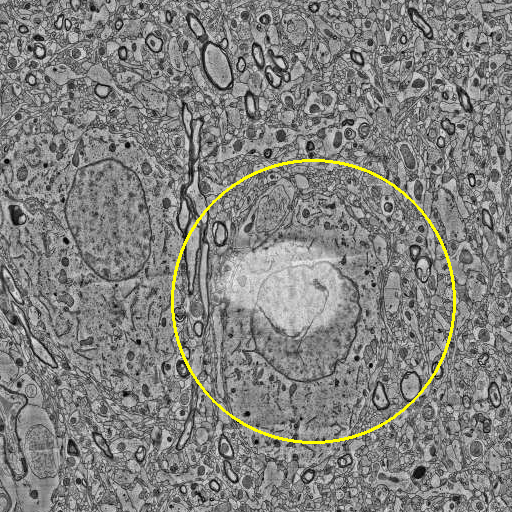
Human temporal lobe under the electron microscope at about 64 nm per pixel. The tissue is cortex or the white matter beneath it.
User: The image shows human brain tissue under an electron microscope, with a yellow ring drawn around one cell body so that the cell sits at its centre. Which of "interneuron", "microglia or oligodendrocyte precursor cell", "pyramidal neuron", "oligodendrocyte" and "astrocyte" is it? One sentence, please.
At the centre of the ring sits a pyramidal neuron.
